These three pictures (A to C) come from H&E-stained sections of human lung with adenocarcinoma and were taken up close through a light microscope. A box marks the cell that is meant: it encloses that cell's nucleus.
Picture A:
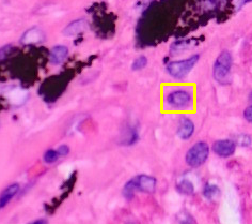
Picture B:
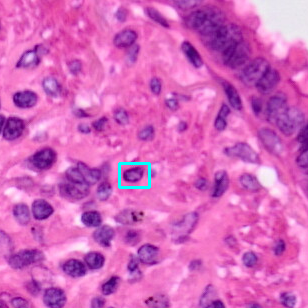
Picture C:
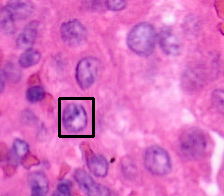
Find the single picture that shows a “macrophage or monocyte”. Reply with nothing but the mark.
C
